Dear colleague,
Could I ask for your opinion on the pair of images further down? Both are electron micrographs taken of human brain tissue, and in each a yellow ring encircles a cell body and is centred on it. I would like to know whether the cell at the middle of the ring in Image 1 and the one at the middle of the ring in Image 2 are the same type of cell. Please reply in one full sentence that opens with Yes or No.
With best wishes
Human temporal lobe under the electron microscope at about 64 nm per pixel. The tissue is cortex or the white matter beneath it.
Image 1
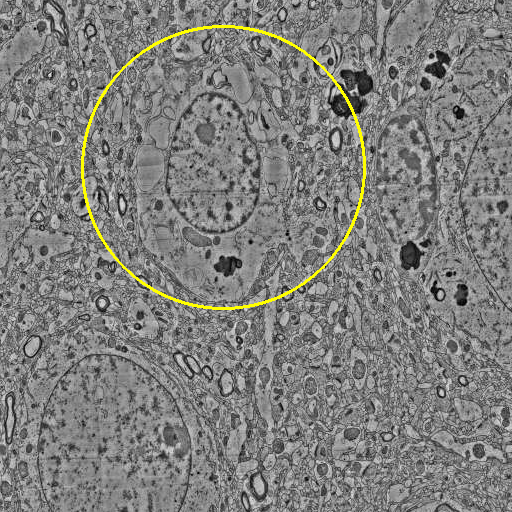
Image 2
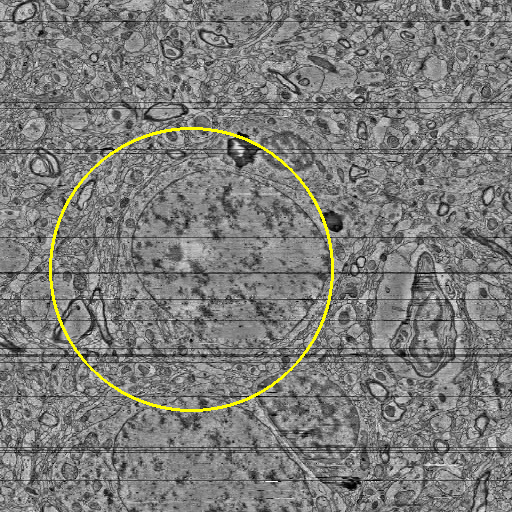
No, the cells at the ring centres in Image 1 and Image 2 are of two types.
